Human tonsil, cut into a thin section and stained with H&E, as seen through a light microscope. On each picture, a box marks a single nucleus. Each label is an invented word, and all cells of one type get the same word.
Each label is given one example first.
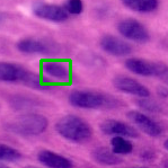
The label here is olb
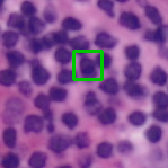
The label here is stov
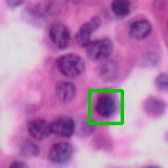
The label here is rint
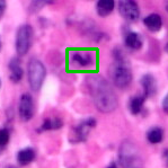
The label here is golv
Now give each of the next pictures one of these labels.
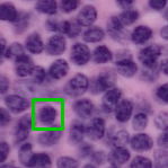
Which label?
stov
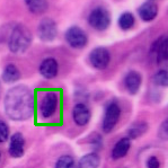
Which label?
rint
